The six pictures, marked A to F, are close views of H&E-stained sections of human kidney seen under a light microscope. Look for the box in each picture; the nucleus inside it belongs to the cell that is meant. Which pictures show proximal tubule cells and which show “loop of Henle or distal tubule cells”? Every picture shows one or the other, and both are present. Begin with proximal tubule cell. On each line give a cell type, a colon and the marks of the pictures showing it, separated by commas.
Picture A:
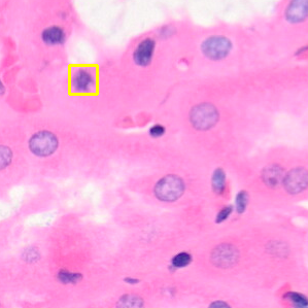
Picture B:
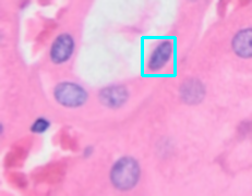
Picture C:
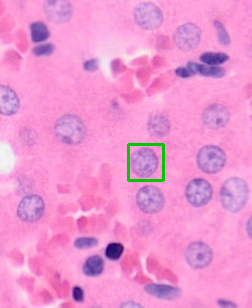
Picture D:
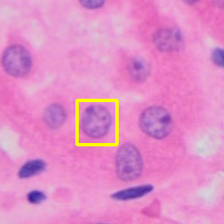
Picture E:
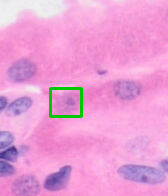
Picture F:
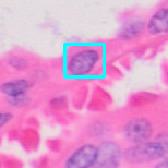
proximal tubule cell: C, D, E
loop of Henle or distal tubule cell: A, B, F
